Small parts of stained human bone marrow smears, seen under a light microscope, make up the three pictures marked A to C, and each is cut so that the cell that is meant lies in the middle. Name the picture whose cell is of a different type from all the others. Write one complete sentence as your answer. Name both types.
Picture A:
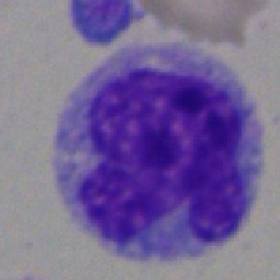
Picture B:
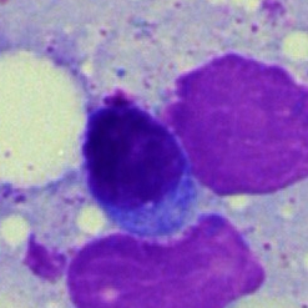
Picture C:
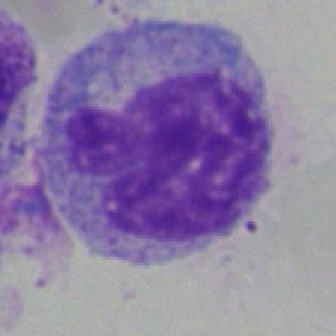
The others show monocytes, but picture B shows a lymphocyte.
